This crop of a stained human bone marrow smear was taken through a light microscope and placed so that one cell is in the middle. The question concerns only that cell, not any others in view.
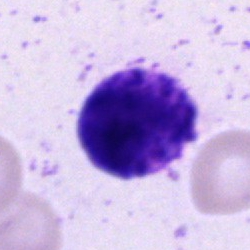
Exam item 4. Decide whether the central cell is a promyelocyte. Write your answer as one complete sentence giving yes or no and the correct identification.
No, it is not a promyelocyte that sits at the centre but a basophil.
